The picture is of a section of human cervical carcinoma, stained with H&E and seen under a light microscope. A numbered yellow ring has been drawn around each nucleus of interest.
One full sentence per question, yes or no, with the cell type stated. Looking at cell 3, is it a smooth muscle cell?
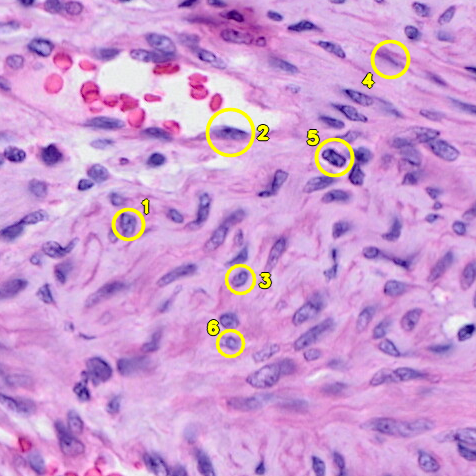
Yes, in this section the cell with number 3 is a smooth muscle cell.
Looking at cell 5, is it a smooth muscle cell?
No, the right label for cell 5 is a lymphocyte rather than a smooth muscle cell.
